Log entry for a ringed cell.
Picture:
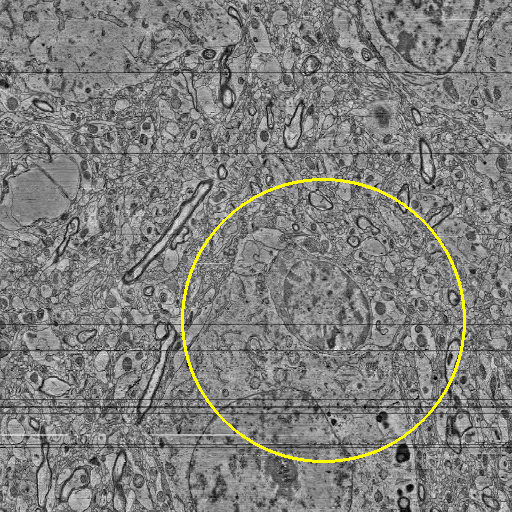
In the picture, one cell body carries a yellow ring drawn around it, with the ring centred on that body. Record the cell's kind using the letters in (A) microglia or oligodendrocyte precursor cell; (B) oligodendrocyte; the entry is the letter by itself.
B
